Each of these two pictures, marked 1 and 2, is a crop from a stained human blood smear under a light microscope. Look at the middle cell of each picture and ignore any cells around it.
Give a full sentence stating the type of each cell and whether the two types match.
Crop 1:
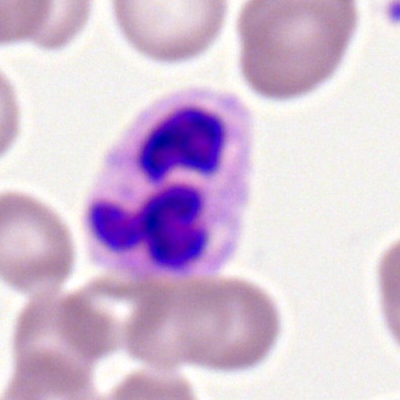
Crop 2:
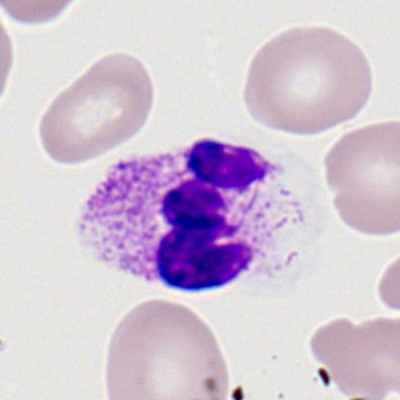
Yes, what both crops show at their centres are segmented neutrophils.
